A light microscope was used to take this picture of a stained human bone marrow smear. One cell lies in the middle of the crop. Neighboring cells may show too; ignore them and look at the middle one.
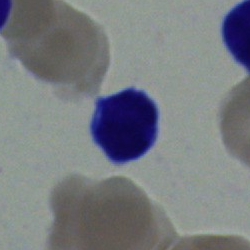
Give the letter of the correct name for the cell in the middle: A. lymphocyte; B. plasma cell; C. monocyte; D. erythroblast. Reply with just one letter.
A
